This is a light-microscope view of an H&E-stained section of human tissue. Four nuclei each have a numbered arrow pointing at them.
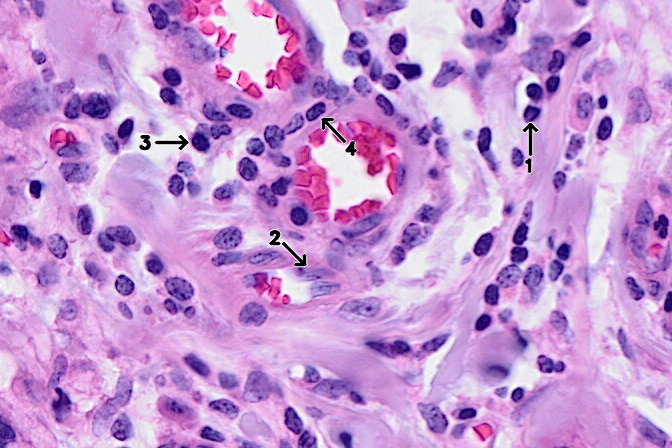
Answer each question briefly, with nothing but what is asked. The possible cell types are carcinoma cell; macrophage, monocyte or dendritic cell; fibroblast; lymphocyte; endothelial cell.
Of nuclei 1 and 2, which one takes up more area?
2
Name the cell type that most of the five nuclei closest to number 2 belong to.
endothelial cell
